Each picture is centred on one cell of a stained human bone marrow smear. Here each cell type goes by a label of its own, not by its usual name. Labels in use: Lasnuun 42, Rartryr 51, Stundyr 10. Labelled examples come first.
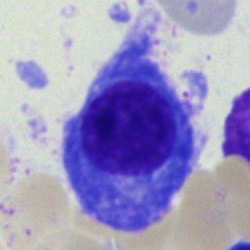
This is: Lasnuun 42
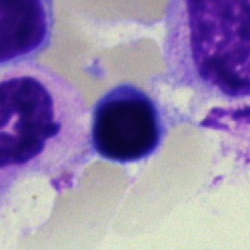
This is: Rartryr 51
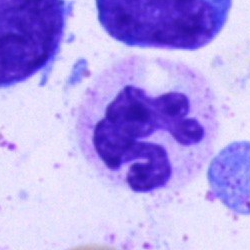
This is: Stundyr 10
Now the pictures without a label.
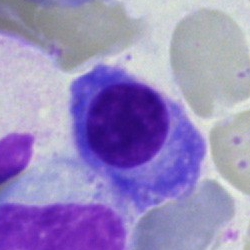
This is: Lasnuun 42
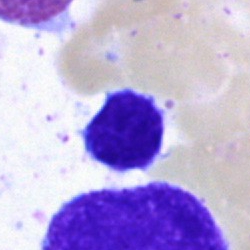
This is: Rartryr 51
